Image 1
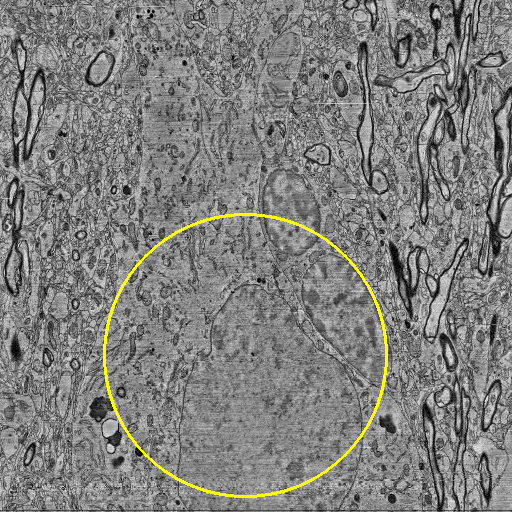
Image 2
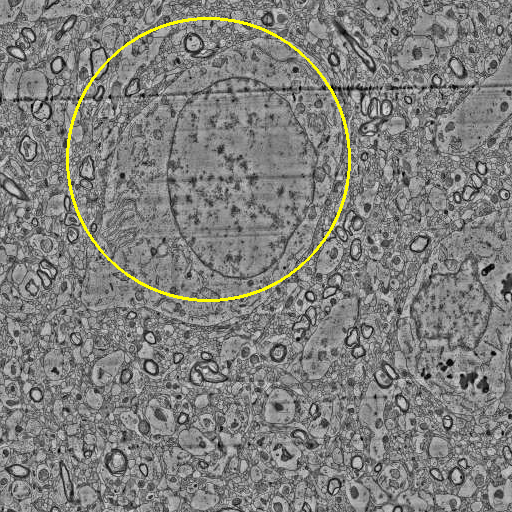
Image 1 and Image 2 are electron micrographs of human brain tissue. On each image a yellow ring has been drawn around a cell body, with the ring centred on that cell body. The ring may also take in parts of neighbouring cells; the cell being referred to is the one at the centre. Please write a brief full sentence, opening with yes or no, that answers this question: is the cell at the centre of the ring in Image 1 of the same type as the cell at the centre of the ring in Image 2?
Yes, both cells are of the same type.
